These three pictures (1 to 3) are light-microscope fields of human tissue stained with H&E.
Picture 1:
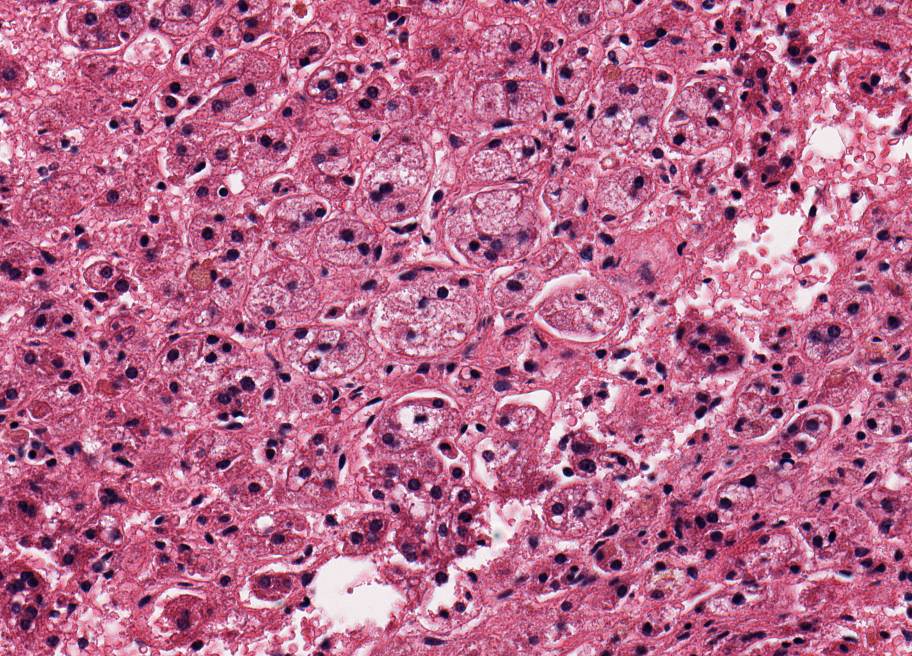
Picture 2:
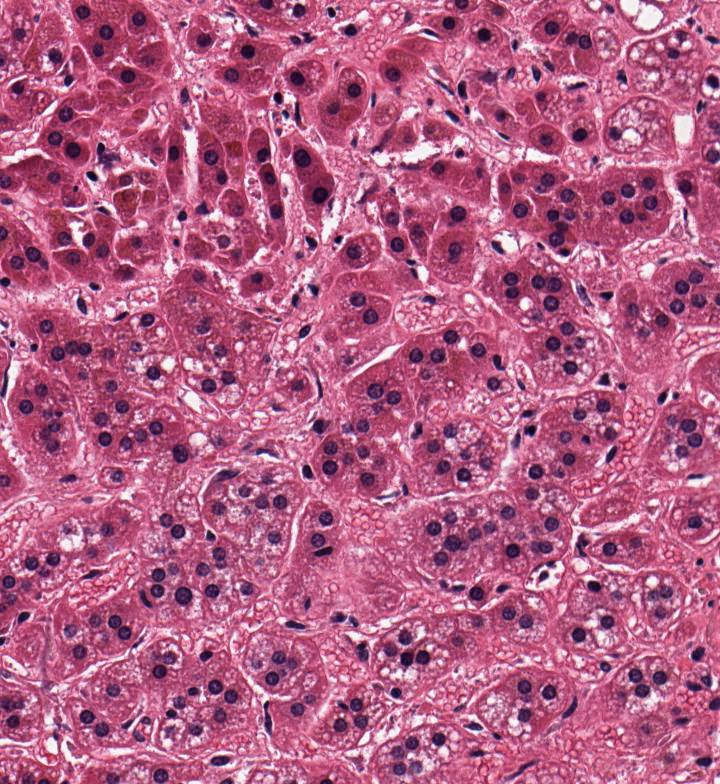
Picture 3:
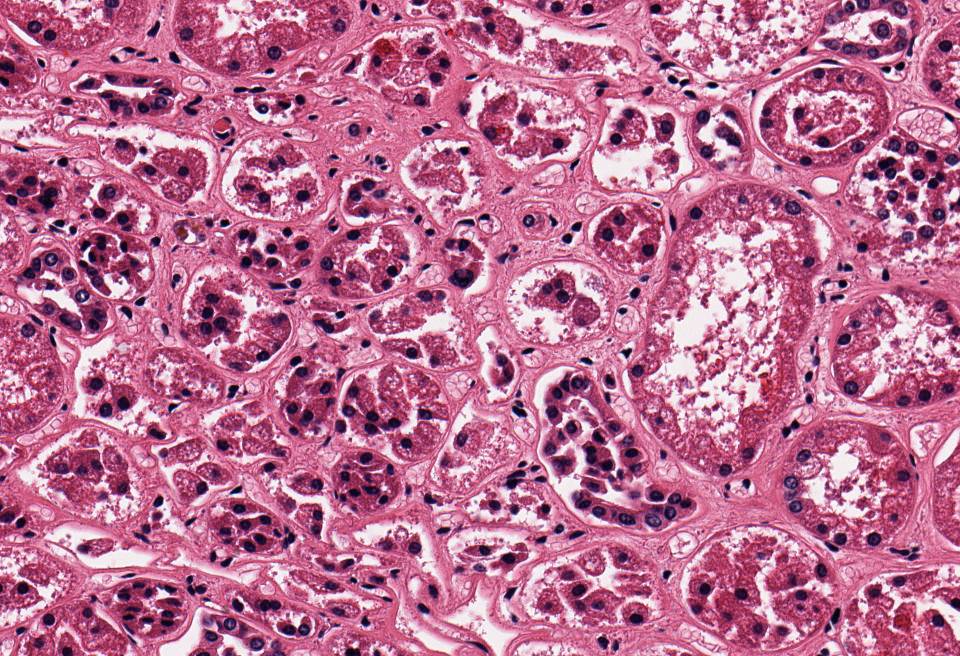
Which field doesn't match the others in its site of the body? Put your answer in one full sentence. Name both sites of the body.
The others come from the adrenal gland, but picture 3 comes from the renal cortex.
